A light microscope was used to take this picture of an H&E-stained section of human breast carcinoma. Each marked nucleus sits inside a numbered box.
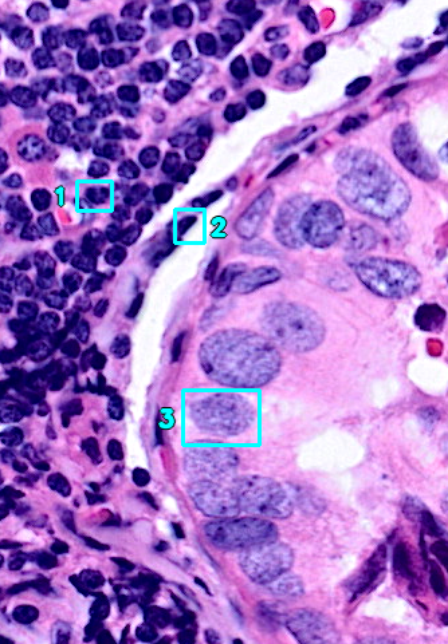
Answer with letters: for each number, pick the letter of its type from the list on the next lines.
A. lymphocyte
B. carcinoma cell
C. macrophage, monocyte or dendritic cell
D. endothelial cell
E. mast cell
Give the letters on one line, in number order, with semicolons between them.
A; A; B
